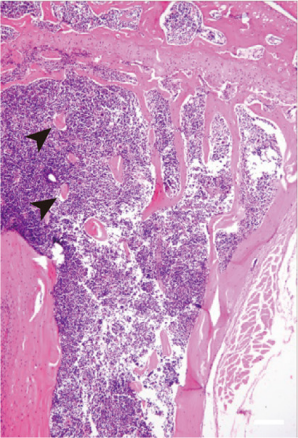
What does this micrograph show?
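This is a longitudinal section through the end of a long bone, with a pale cartilage band crossing the top and bone with marrow below it. The marrow is very densely cellular. Sheets of small cells with dark purple nuclei crowd the spaces and obscure much of the trabecular pattern, so only a few long pink bony spicules stand out. Small rounded pink structures and a few clear spaces lie scattered within the cellular mass. A thick pink band of cortical bone runs down the left edge.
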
